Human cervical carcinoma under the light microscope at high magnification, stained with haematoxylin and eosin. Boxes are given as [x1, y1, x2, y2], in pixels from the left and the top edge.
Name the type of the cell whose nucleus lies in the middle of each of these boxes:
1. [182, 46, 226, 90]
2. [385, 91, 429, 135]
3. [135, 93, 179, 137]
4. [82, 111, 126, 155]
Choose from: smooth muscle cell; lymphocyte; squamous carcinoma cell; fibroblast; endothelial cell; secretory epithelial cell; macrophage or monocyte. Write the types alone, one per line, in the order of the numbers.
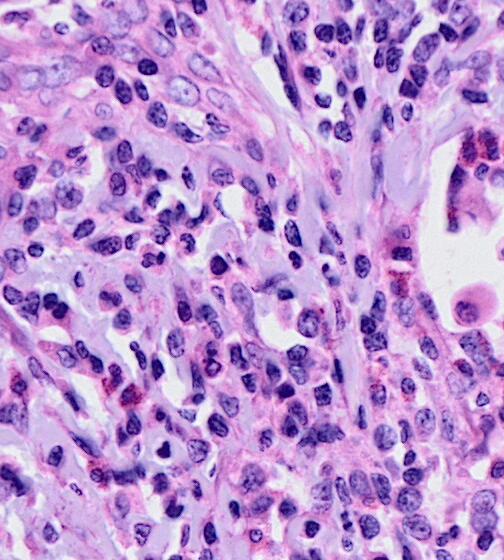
endothelial cell
lymphocyte
lymphocyte
lymphocyte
